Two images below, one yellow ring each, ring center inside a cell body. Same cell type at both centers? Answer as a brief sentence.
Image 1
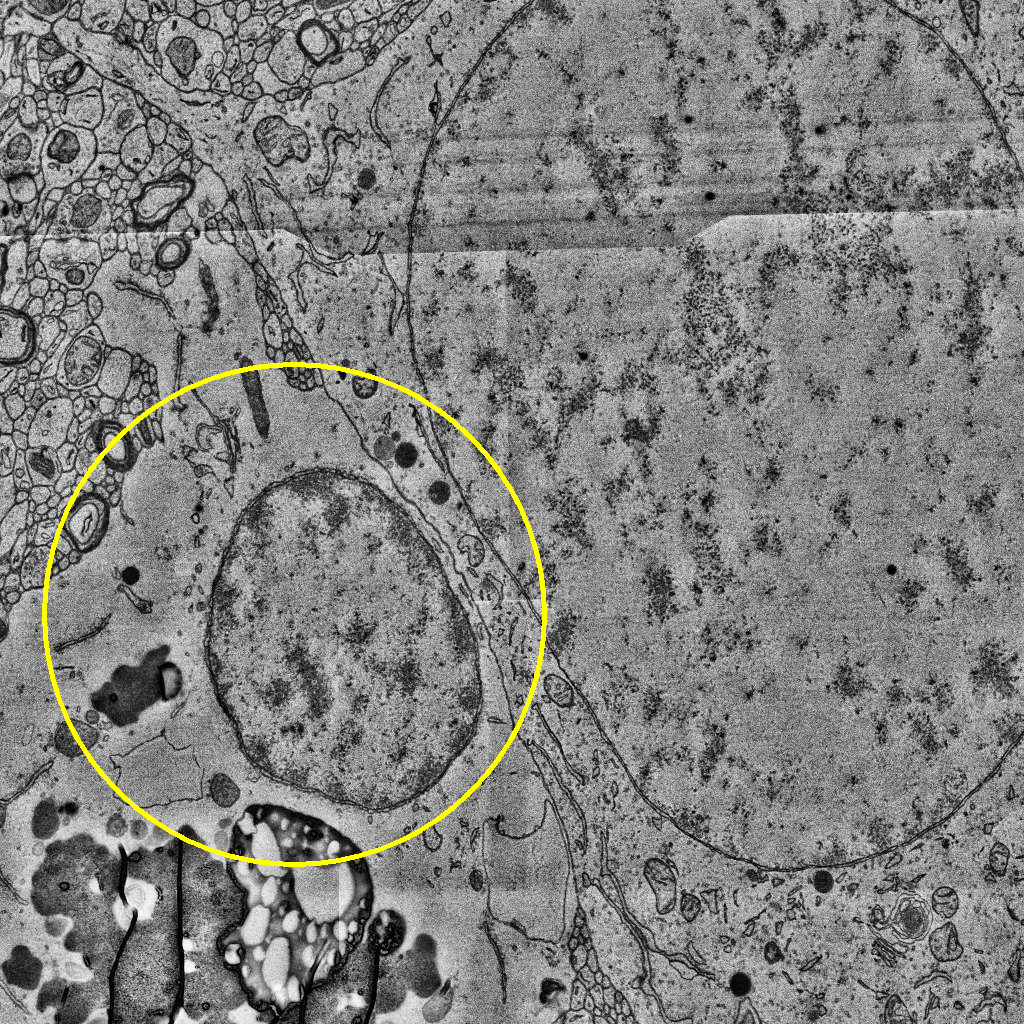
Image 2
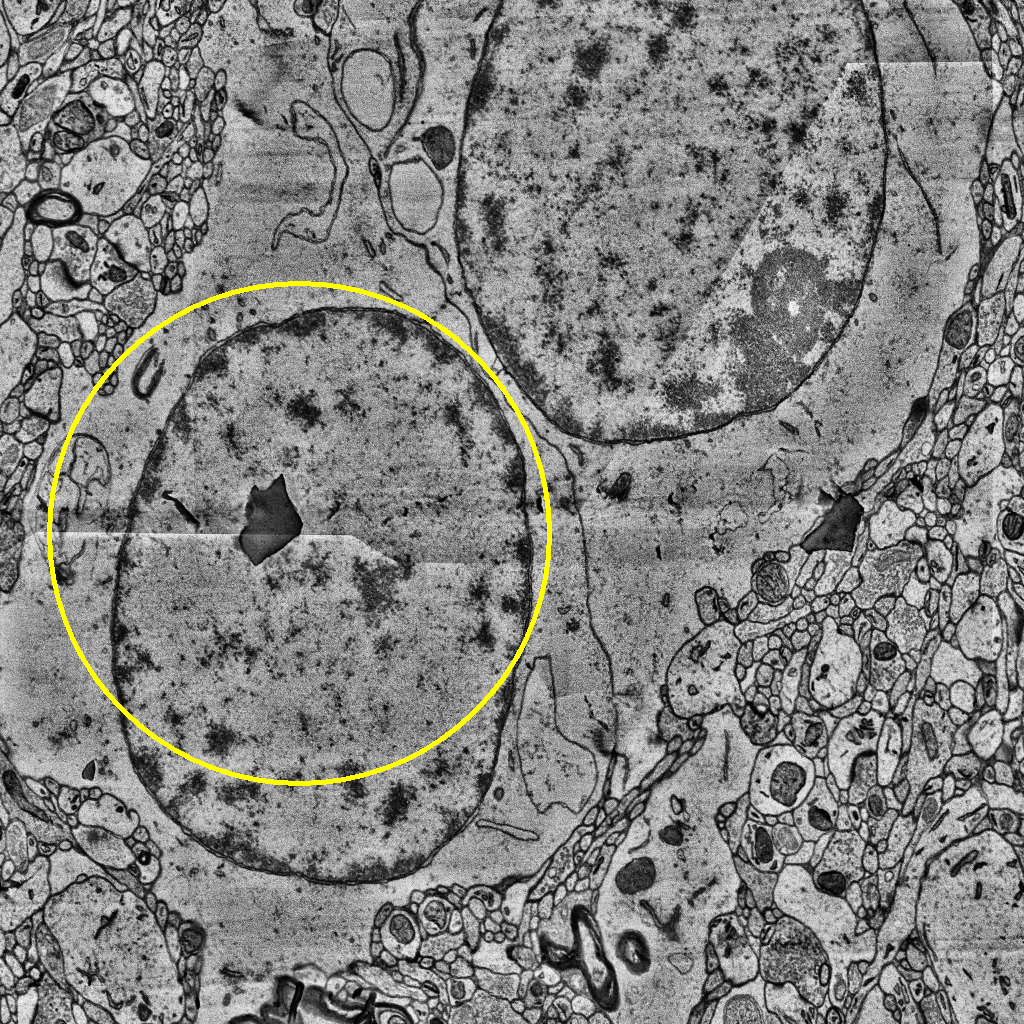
Yes, both cells are of the same type.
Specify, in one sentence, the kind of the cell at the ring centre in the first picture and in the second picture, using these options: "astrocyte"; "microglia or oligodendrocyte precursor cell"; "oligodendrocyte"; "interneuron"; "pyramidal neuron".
The cell at the ring centre is an astrocyte in both pictures.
